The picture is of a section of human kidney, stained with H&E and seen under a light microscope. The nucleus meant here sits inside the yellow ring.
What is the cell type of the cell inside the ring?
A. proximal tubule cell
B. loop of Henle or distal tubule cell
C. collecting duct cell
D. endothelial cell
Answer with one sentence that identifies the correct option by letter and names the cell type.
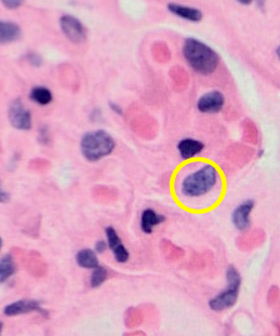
Option D is correct in stating that the cell inside the ring is an endothelial cell.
